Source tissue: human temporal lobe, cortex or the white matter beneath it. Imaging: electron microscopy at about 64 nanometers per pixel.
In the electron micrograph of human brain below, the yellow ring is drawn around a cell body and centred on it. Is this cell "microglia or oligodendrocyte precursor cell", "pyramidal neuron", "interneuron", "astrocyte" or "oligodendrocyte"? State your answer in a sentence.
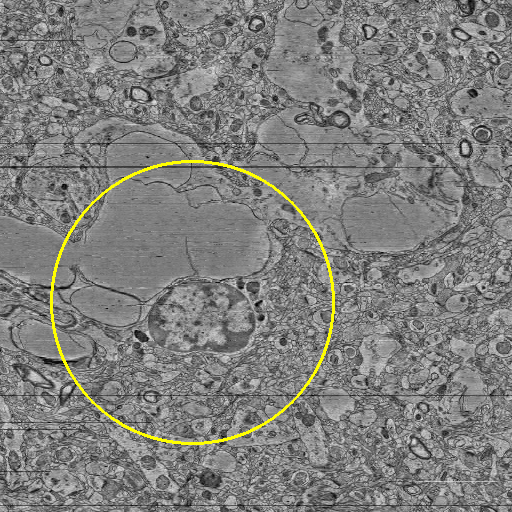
The cell in the middle of the ring is a microglial cell or oligodendrocyte precursor cell.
